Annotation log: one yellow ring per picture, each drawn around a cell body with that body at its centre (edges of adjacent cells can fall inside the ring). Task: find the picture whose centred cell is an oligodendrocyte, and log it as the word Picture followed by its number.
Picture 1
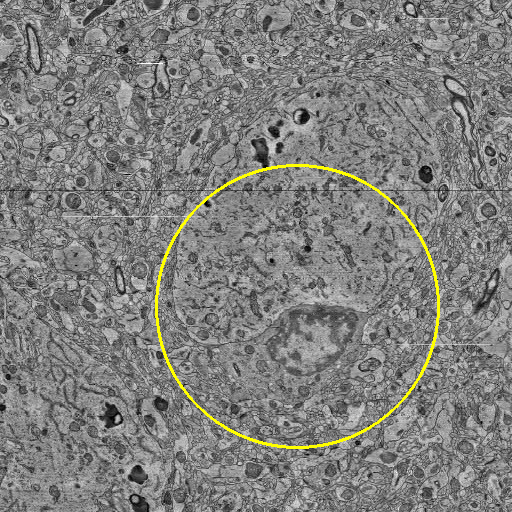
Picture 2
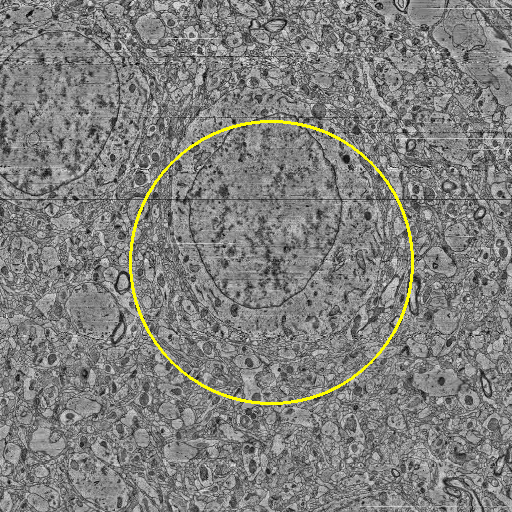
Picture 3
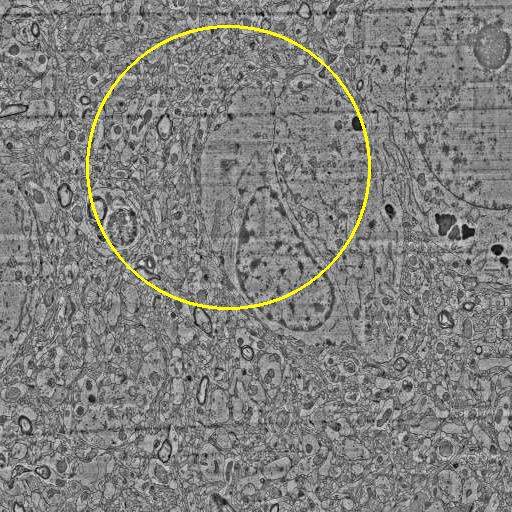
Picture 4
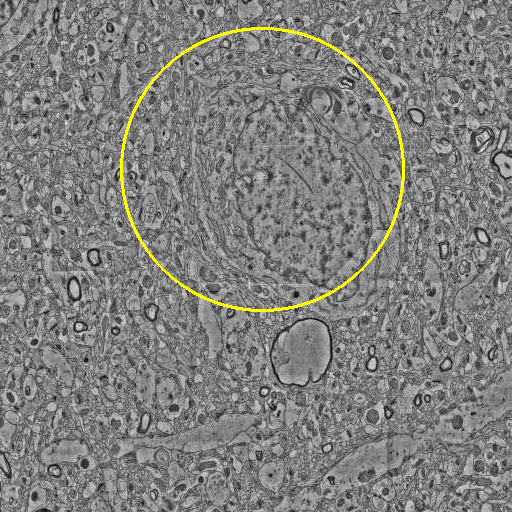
Picture 1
